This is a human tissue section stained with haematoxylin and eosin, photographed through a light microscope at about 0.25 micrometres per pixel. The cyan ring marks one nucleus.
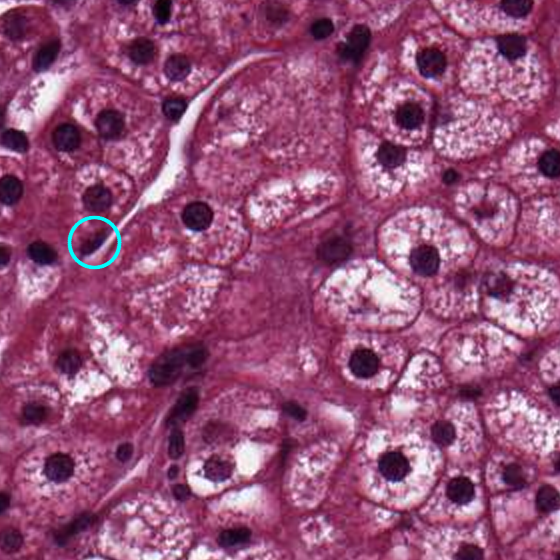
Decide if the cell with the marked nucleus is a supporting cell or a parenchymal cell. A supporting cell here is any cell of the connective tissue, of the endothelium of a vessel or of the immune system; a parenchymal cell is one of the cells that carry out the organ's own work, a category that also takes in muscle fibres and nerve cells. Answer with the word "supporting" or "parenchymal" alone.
supporting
